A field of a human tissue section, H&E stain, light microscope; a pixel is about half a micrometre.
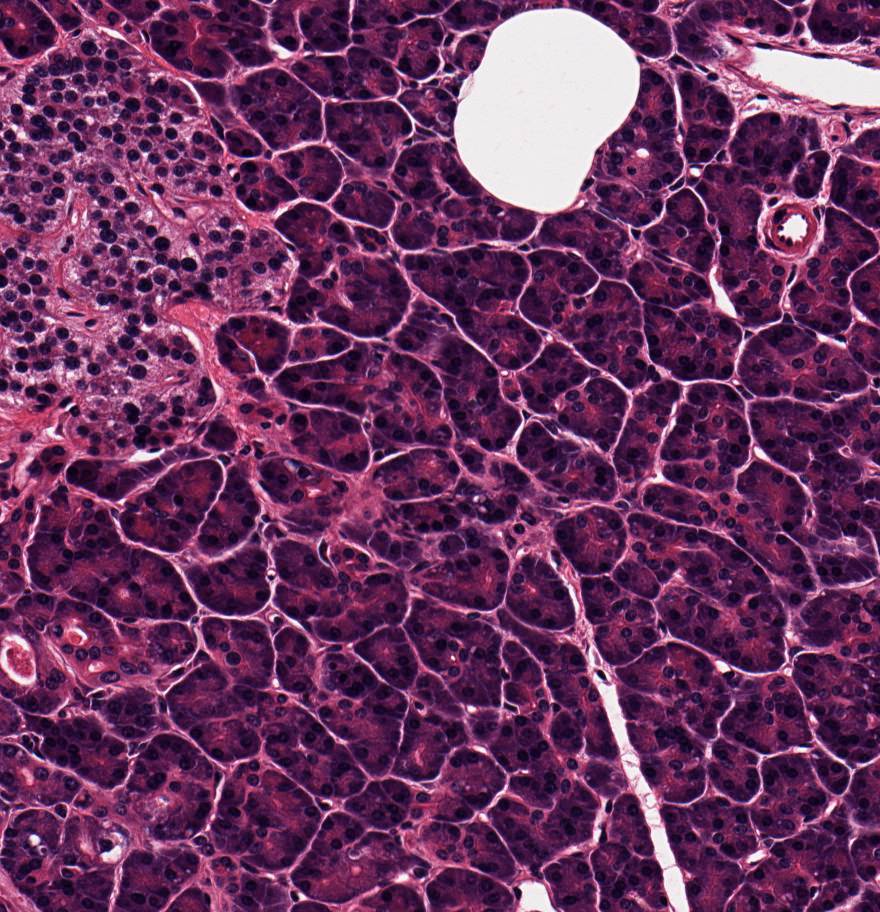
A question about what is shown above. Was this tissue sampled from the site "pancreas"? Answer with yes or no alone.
yes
